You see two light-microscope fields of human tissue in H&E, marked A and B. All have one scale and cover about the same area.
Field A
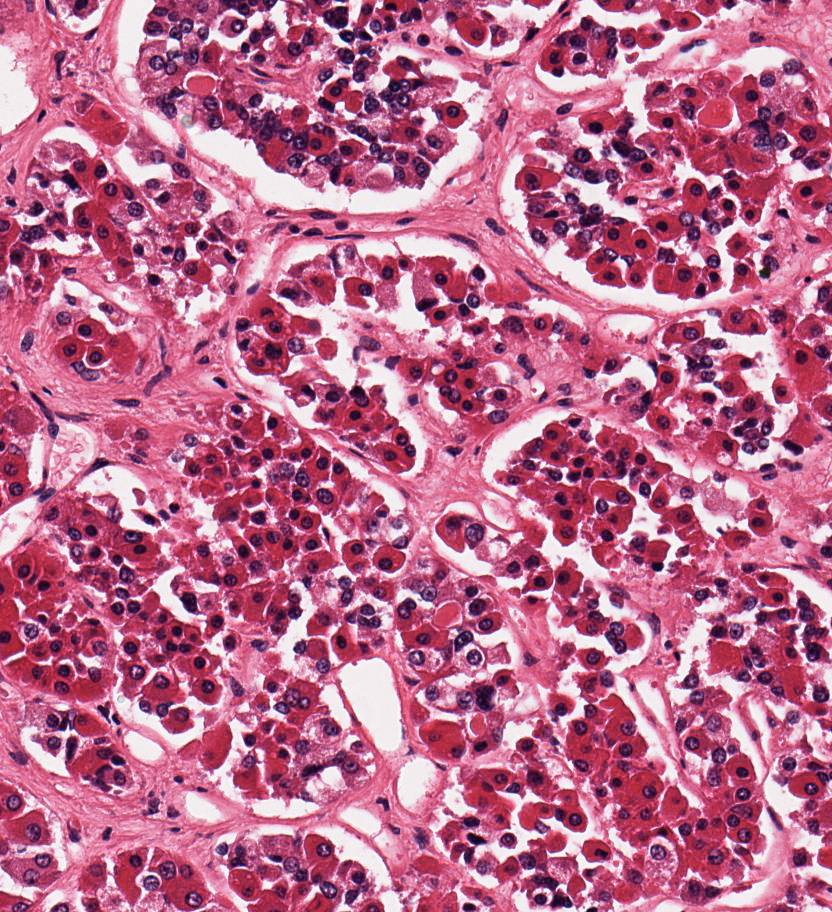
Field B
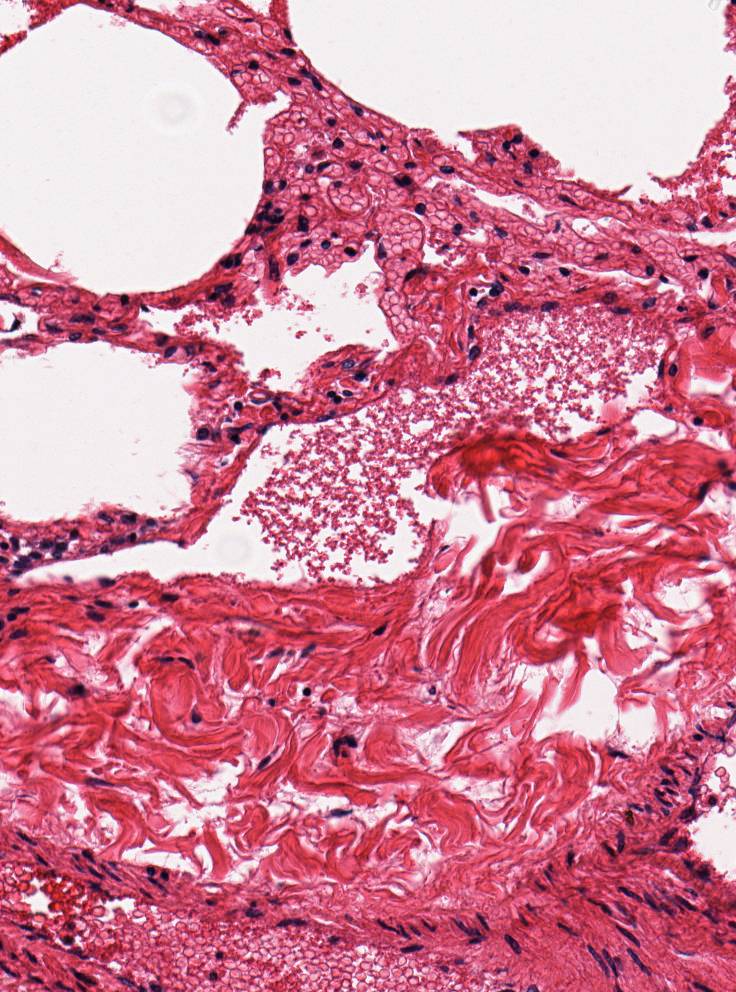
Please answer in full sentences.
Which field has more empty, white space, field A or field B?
Unstained space takes up more of field B than of field A.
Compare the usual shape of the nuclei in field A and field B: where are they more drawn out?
It is field B whose nuclei are the more elongated.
